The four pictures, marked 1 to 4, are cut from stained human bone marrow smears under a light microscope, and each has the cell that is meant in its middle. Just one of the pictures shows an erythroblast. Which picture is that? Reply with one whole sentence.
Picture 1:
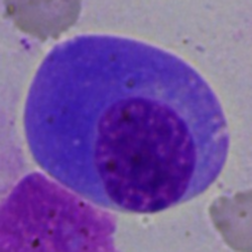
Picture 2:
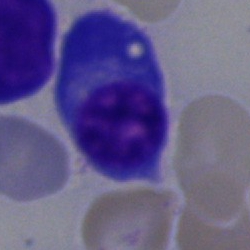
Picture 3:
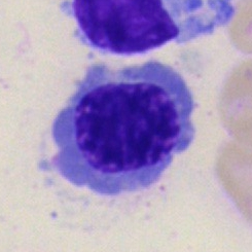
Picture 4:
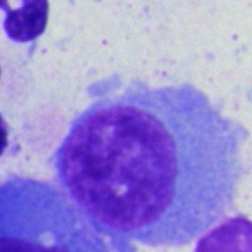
Picture 3 shows the erythroblast.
